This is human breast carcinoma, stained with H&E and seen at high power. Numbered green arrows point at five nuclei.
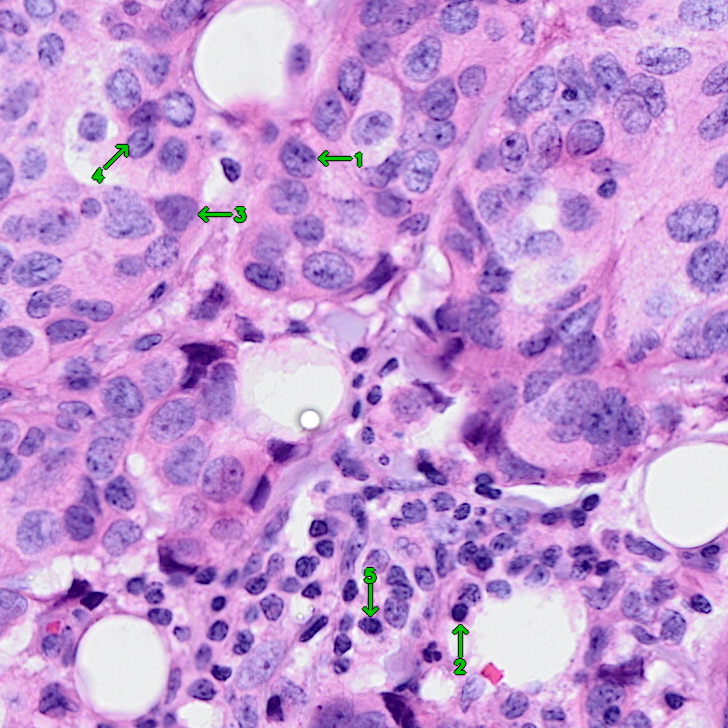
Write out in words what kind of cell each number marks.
Cell 1 is a carcinoma cell, cell 2 is a lymphocyte, cell 3 is a carcinoma cell, cell 4 is a carcinoma cell and cell 5 is a lymphocyte.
